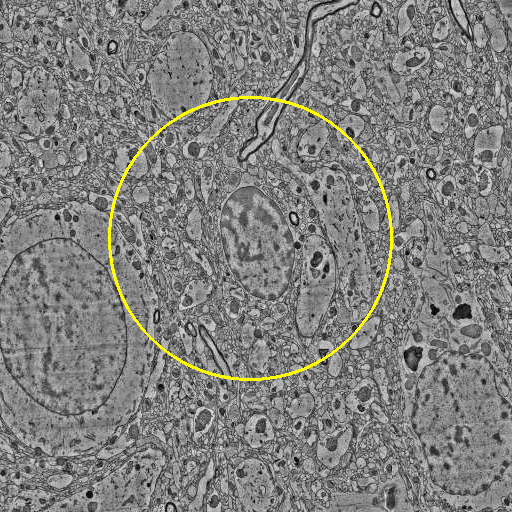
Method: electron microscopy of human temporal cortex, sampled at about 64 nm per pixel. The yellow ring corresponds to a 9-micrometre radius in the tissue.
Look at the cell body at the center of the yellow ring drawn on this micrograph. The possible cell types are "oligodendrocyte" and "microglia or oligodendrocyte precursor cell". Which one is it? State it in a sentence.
The cell in the middle of the ring is a microglial cell or oligodendrocyte precursor cell.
